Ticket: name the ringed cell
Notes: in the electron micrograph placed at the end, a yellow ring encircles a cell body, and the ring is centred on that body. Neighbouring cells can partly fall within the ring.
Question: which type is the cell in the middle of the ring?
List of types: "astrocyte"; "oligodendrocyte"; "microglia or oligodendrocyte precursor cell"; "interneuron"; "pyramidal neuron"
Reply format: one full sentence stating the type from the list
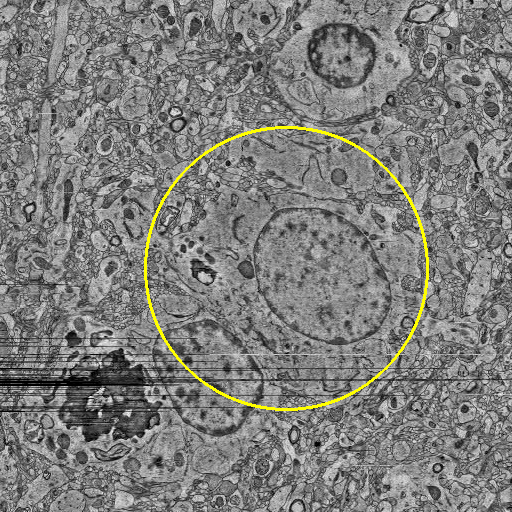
The cell sitting at the centre of the yellow ring is an astrocyte.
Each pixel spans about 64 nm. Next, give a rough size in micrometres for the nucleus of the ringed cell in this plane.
Approximately 10 x 8 micrometres in this plane.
